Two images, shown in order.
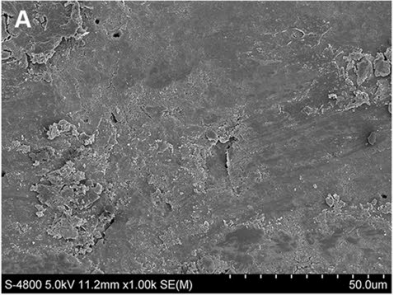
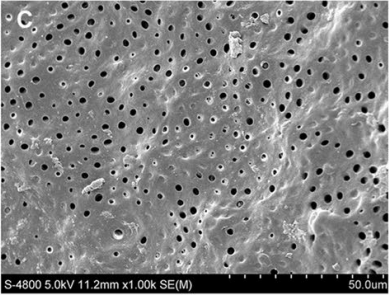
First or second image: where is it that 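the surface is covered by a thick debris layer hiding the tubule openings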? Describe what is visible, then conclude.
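Second image: a smooth surface with many evenly scattered round open tubule orifices. First image: a continuous amorphous layer with clumped debris and no visible orifices. That points to this answer: the first image.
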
